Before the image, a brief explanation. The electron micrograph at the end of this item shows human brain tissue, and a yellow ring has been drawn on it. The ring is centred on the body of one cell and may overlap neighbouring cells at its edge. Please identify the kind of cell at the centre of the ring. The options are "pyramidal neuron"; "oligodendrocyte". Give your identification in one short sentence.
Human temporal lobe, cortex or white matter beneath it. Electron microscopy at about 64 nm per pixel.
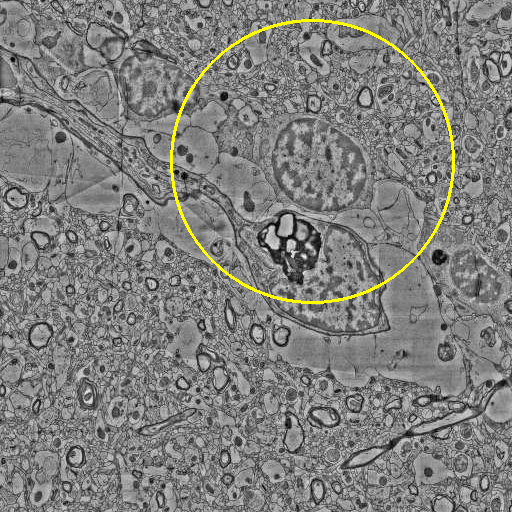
The ring has been placed around an oligodendrocyte.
